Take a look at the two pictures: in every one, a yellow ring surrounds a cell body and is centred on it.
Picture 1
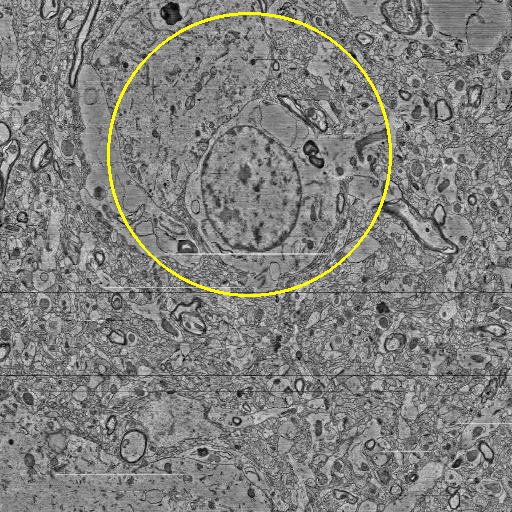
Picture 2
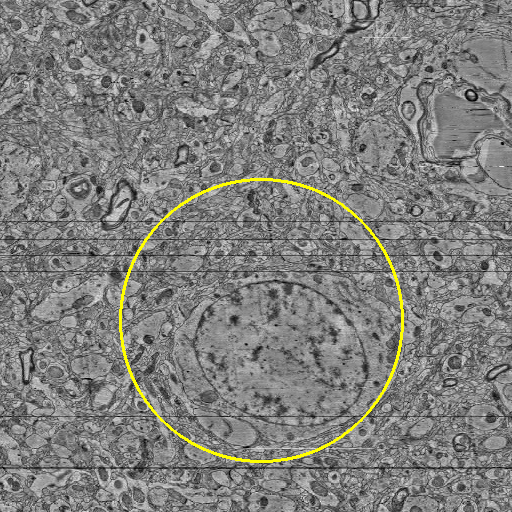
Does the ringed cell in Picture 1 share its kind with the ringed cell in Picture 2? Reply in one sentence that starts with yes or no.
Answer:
No, the two centred cells, one per picture, are of two kinds.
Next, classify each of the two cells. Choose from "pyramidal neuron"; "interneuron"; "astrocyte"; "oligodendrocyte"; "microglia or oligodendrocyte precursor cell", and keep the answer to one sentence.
In the first picture it is an astrocyte; in the second it is a pyramidal neuron.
